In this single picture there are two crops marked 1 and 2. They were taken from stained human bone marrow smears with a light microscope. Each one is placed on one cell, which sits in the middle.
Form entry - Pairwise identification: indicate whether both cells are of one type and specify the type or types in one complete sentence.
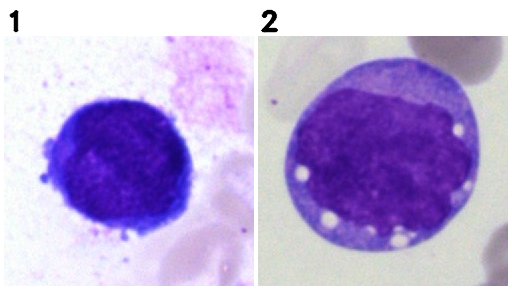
Yes, both crops have blasts as their central cells.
